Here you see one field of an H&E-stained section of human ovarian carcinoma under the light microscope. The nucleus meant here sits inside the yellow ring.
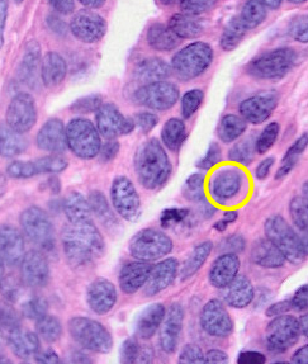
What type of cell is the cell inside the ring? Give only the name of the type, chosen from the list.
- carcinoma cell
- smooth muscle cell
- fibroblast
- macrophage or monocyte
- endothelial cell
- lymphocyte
carcinoma cell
